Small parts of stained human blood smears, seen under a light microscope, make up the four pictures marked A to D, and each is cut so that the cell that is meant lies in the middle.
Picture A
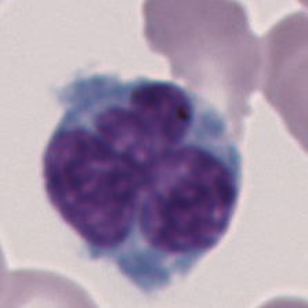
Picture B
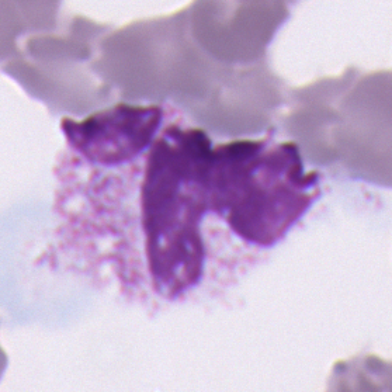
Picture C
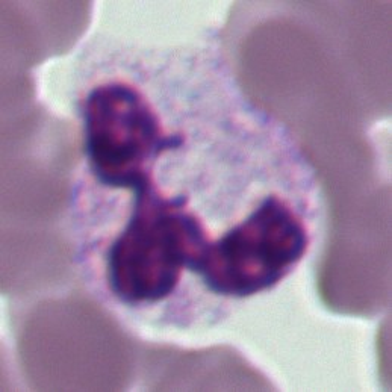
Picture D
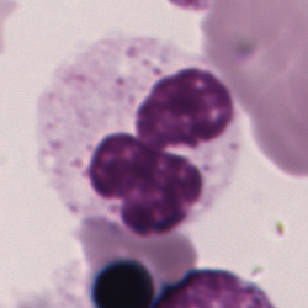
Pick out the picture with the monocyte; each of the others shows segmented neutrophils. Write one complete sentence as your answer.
Picture A is the one that shows the monocyte.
